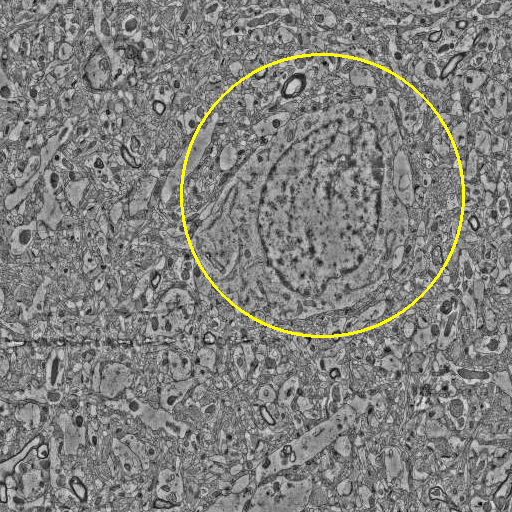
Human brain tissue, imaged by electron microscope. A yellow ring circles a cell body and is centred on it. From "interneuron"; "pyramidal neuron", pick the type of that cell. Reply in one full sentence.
The cell body at the centre of the yellow ring belongs to an interneuron.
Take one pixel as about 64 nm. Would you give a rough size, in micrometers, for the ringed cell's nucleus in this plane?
About 12 by 8 micrometres, the nucleus being clearly longer than it is wide in this plane.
